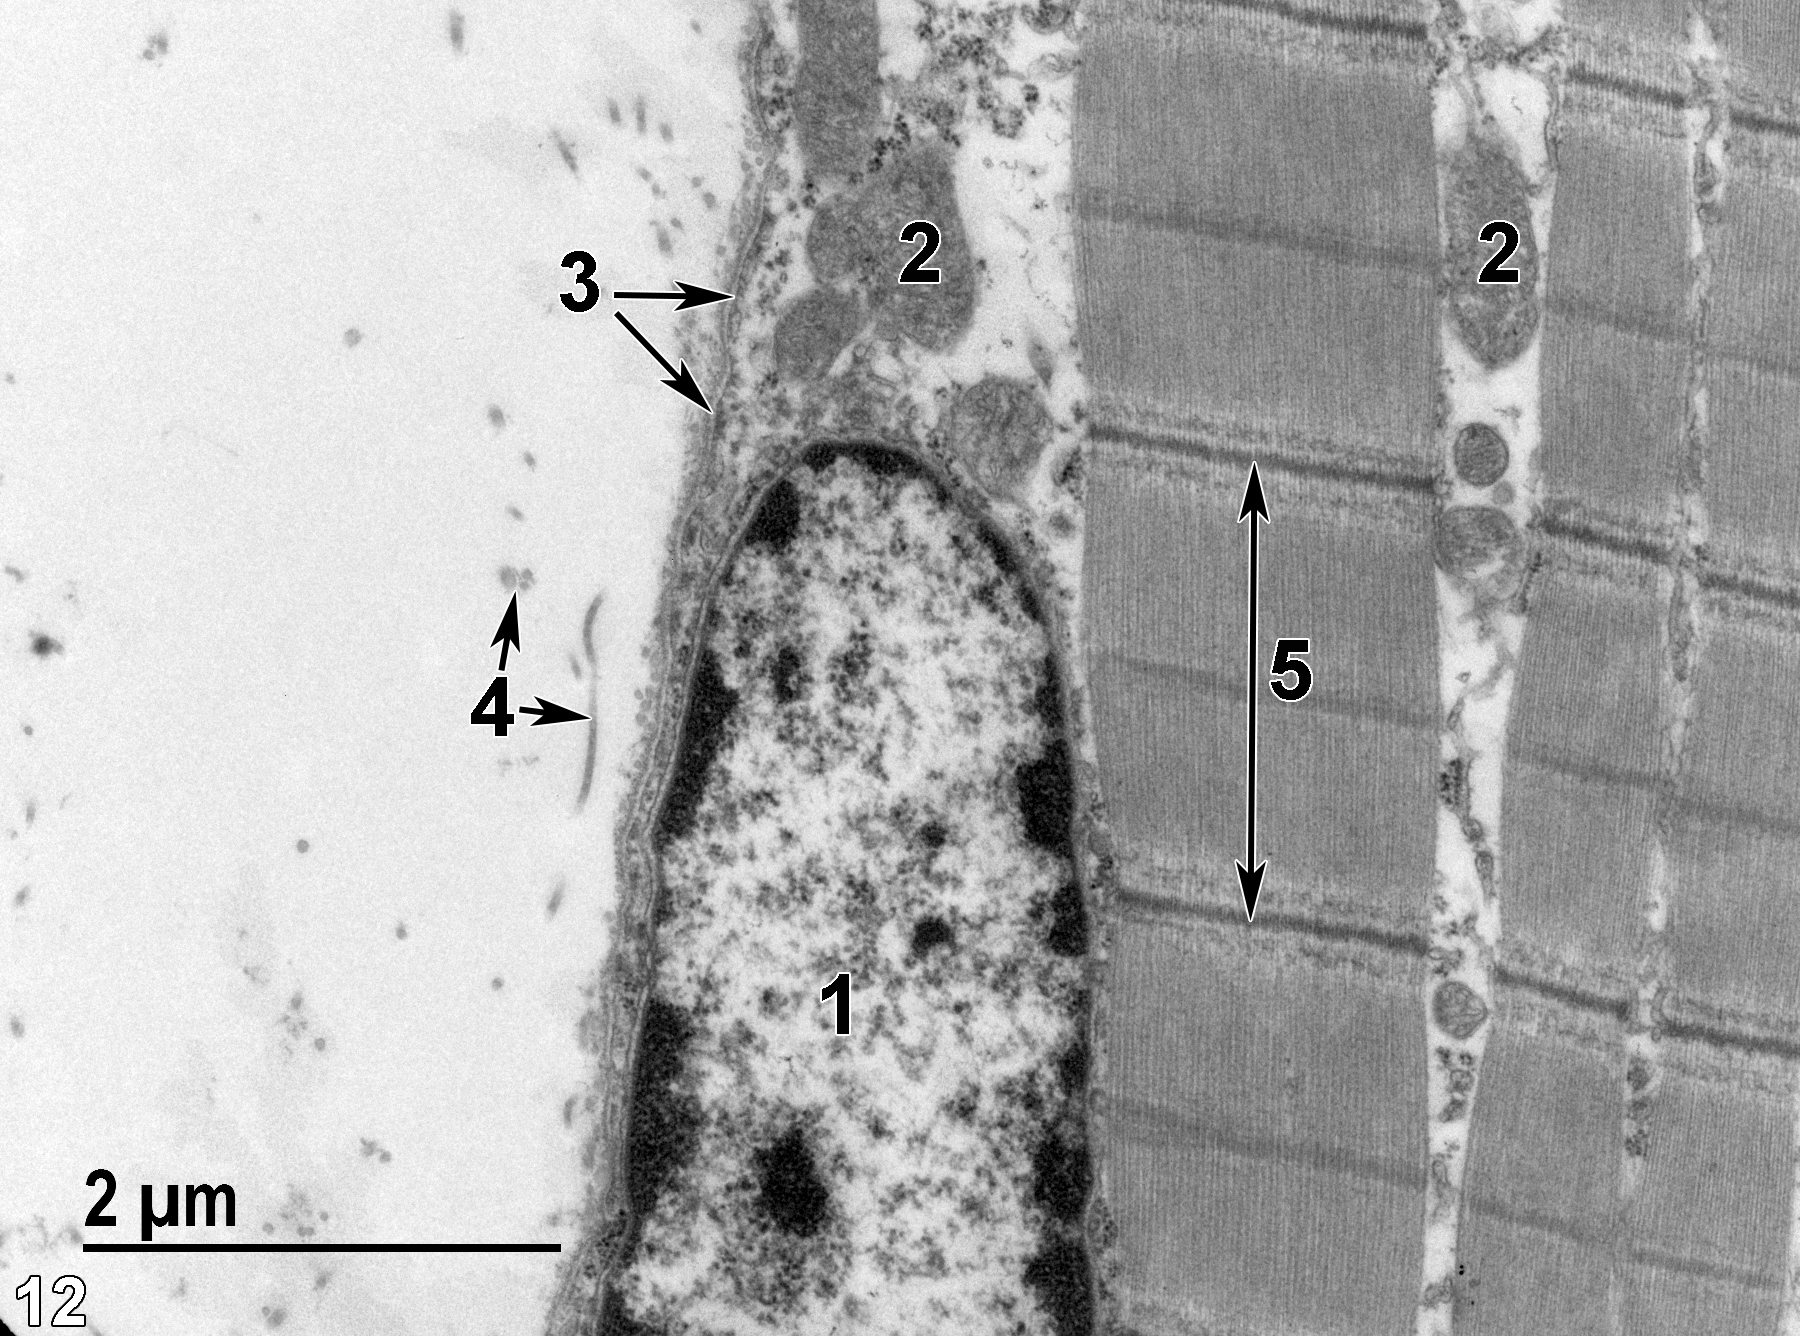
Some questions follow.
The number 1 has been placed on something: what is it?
The number 1 marks the myocyte nucleus.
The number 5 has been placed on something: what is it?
5 marks the sarcomere.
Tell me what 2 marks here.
mitochondria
